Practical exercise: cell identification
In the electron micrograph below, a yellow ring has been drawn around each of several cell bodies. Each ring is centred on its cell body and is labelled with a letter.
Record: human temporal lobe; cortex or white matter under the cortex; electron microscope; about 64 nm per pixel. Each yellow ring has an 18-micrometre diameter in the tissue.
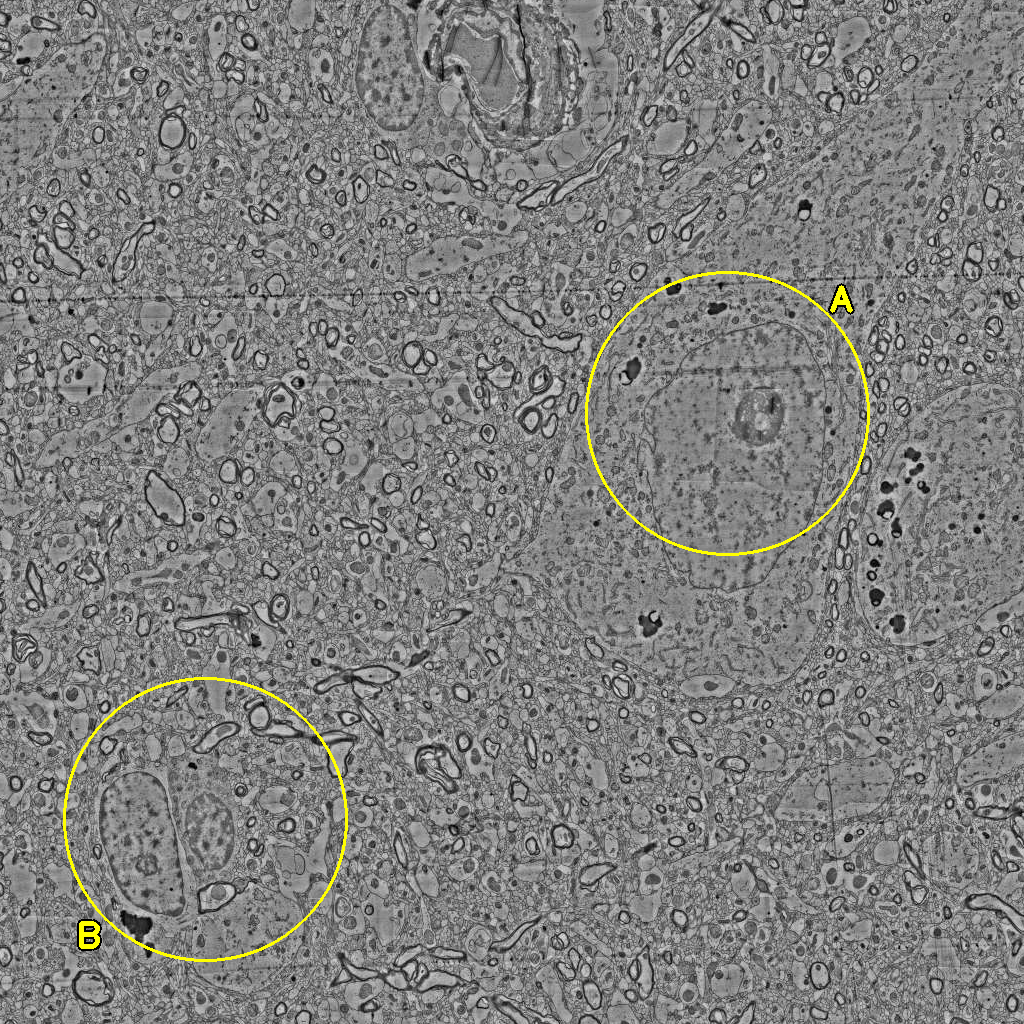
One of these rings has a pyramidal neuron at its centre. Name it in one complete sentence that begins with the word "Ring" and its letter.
Ring A has that cell at its centre.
